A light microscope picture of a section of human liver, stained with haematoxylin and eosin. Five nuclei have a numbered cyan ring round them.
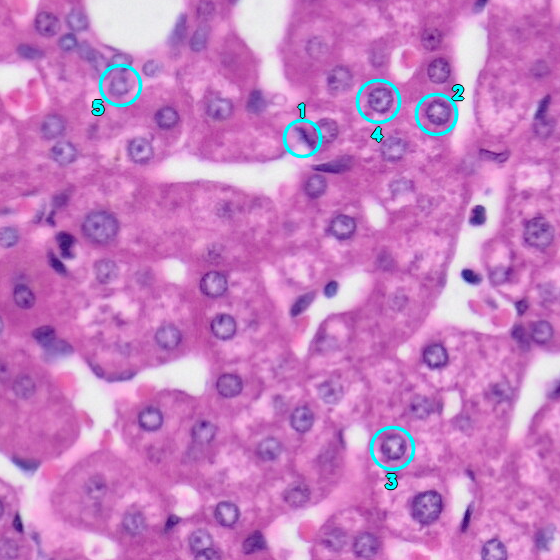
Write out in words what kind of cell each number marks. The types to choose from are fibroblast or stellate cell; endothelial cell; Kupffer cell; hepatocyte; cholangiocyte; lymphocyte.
Cell 1 is a fibroblast or stellate cell. Cells 2, 3 and 4 are hepatocytes. Cell 5 is a cholangiocyte.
